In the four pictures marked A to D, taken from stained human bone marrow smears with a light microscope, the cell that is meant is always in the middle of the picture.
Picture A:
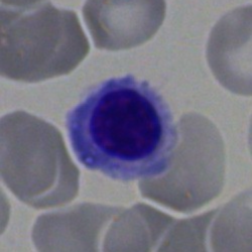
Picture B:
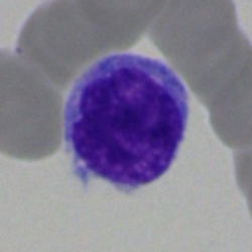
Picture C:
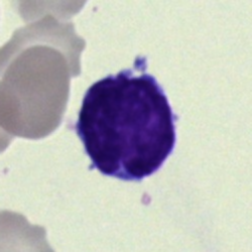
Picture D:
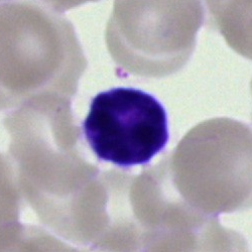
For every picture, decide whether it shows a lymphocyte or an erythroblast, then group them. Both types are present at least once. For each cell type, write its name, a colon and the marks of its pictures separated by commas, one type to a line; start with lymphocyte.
lymphocyte: B, C, D
erythroblast: A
